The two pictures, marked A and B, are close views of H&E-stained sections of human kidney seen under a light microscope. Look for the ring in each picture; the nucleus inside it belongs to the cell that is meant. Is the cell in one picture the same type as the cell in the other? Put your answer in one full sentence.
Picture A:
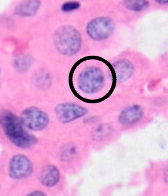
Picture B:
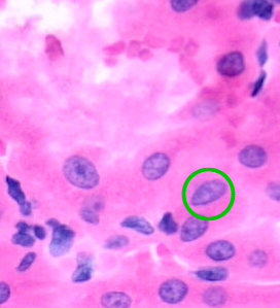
No, picture A shows a “loop of Henle or distal tubule cell” and picture B shows a proximal tubule cell.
